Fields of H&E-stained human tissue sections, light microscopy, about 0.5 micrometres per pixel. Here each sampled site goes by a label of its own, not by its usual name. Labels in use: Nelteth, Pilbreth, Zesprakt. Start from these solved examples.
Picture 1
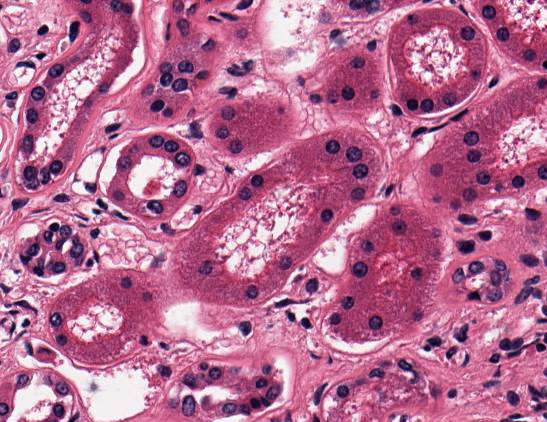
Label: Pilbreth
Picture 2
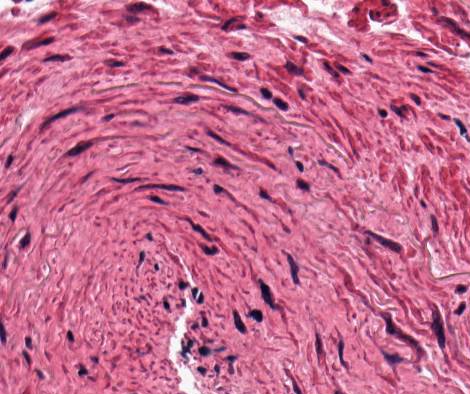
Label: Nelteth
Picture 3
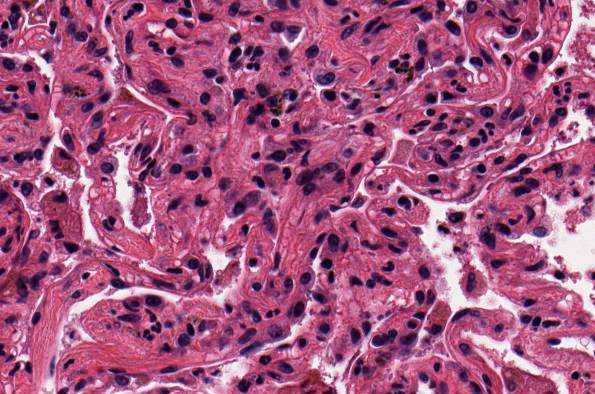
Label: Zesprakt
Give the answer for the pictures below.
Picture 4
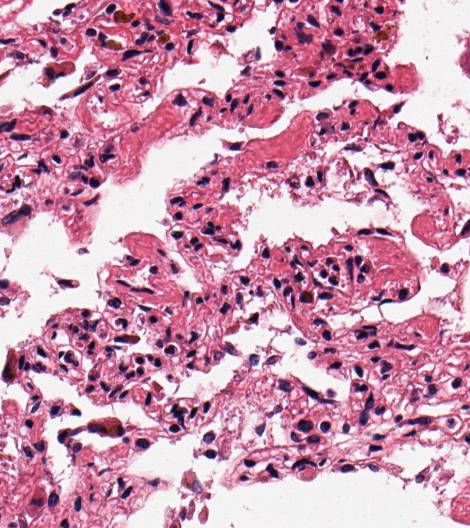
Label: Zesprakt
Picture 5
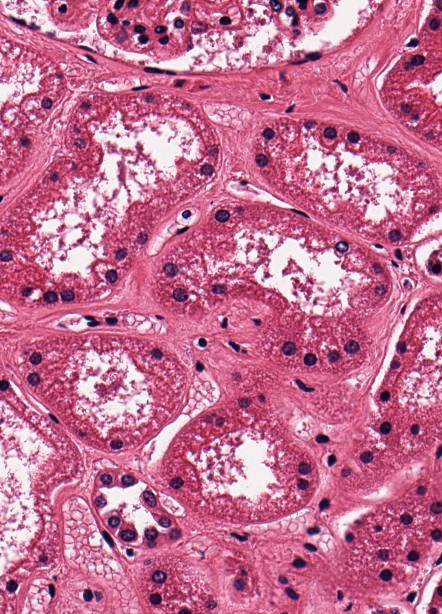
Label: Pilbreth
